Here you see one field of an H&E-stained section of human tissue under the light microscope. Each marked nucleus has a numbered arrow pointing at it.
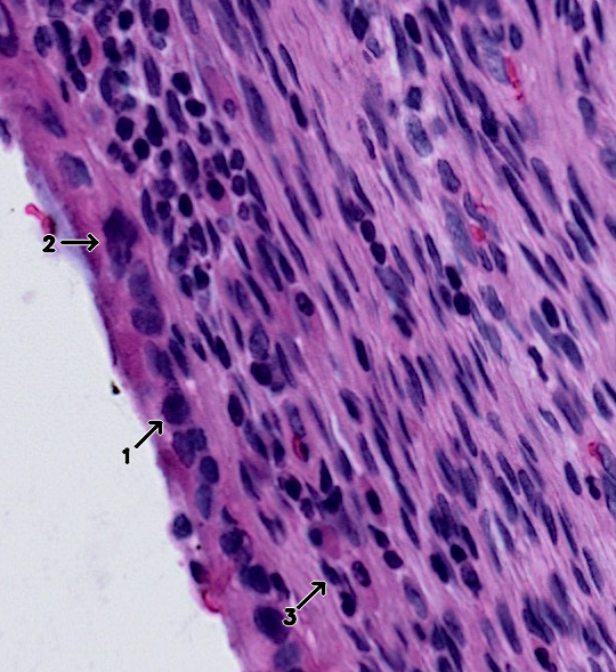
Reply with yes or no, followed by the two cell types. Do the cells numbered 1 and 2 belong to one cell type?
Yes, cells 1 and 2 both qualify as secretory epithelial cells.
